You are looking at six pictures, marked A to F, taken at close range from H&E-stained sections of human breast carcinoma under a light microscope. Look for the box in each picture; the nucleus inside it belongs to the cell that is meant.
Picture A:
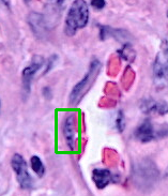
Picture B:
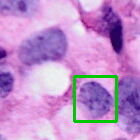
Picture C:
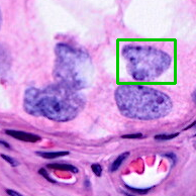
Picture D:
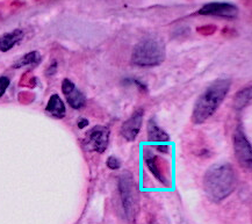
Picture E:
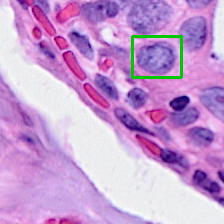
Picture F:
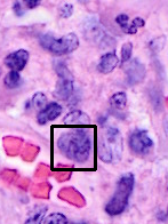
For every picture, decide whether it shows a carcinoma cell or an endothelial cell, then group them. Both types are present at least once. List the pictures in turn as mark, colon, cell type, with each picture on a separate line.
A: endothelial cell
B: carcinoma cell
C: carcinoma cell
D: endothelial cell
E: carcinoma cell
F: endothelial cell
